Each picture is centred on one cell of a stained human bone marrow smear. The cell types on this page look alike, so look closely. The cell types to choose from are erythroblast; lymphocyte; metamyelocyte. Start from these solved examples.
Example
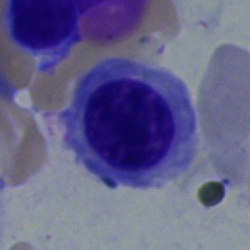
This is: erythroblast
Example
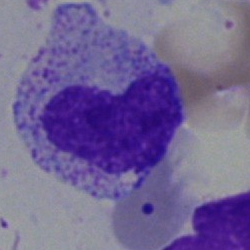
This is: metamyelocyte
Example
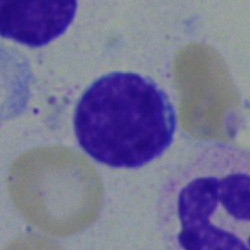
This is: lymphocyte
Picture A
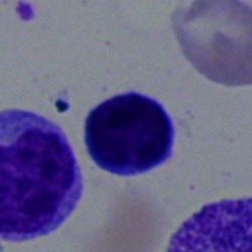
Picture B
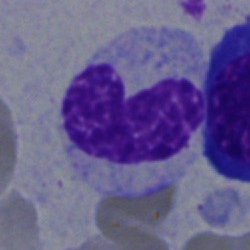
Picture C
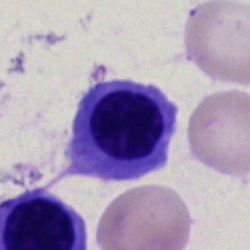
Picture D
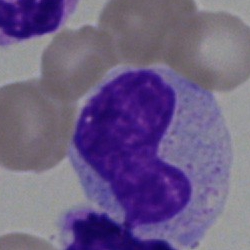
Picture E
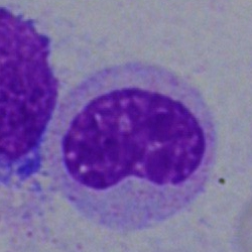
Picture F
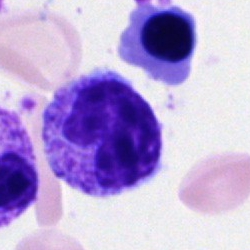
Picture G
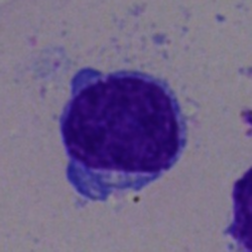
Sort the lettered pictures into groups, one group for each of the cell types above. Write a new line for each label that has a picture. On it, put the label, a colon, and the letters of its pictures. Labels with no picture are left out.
erythroblast: C
lymphocyte: A, G
metamyelocyte: B, D, E, F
